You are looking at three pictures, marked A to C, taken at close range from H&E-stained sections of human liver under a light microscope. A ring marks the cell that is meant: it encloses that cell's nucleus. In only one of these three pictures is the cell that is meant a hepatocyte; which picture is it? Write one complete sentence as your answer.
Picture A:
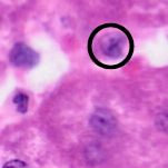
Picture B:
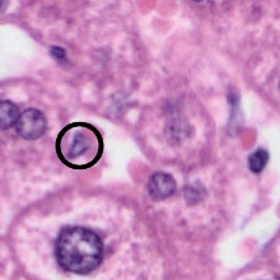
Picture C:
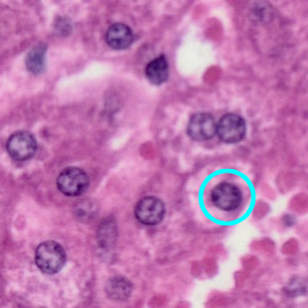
It is picture C that shows the hepatocyte.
